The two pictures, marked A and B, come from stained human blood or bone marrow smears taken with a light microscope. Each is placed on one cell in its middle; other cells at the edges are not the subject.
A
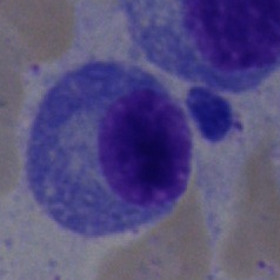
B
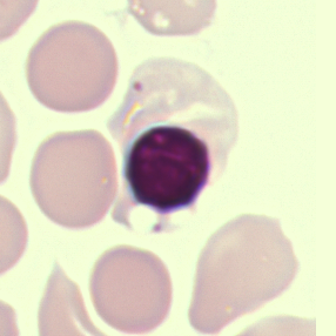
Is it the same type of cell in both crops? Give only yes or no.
no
